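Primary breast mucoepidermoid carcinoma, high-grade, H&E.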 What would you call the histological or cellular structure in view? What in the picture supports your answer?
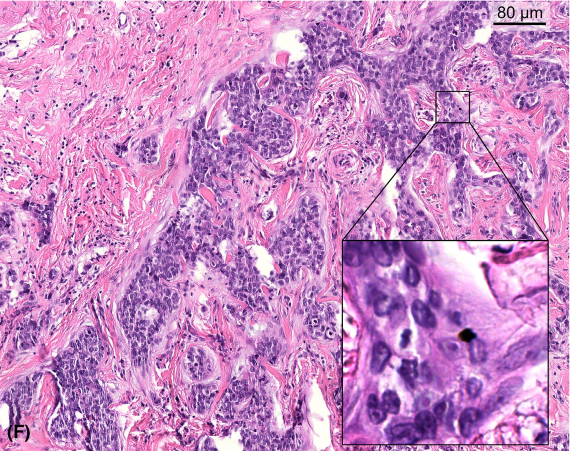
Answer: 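Large irregular clusters of closely packed cells with dark nuclei. The clusters are separated by bands of pink collagenous stroma. The answer: nests of tumor cells.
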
